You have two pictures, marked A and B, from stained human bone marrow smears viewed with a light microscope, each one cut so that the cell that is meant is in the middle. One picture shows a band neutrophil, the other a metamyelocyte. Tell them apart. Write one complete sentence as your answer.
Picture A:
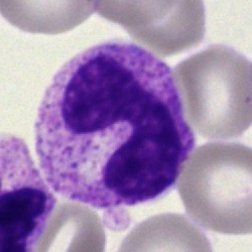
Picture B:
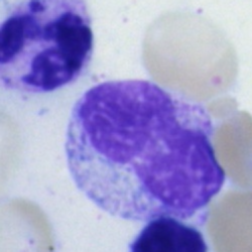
Picture A shows a band neutrophil and picture B shows a metamyelocyte.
